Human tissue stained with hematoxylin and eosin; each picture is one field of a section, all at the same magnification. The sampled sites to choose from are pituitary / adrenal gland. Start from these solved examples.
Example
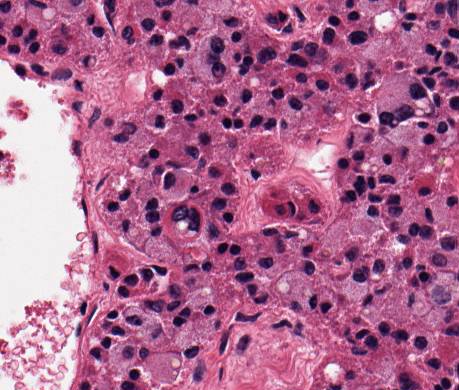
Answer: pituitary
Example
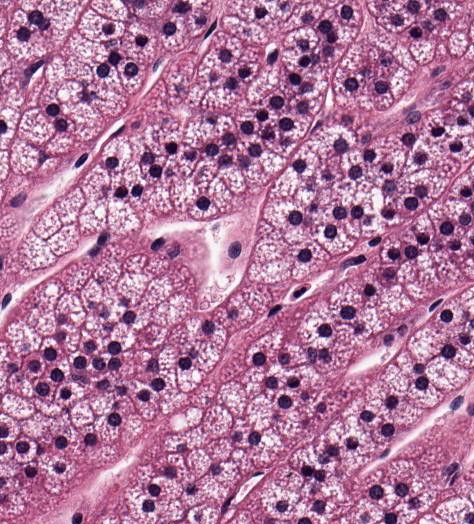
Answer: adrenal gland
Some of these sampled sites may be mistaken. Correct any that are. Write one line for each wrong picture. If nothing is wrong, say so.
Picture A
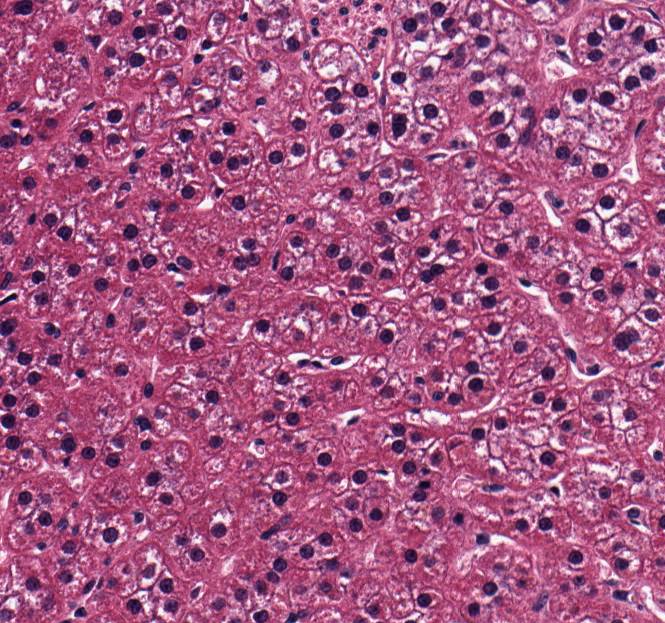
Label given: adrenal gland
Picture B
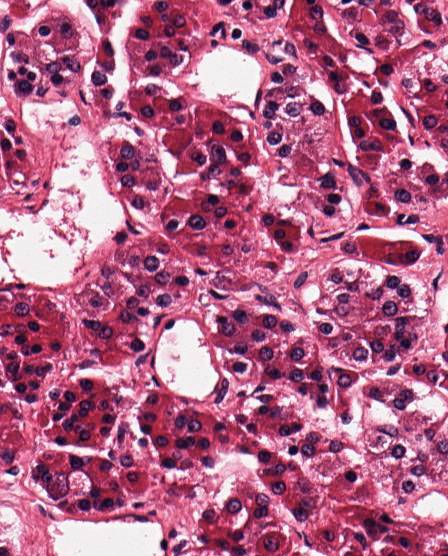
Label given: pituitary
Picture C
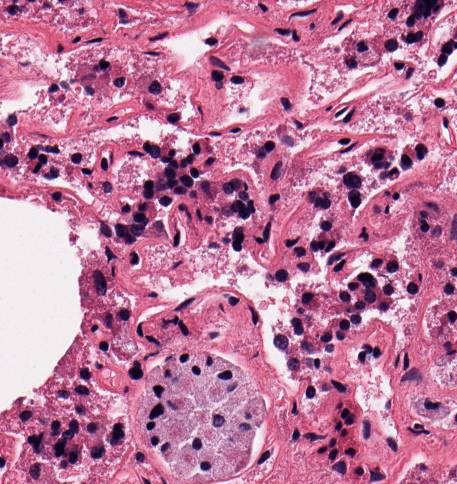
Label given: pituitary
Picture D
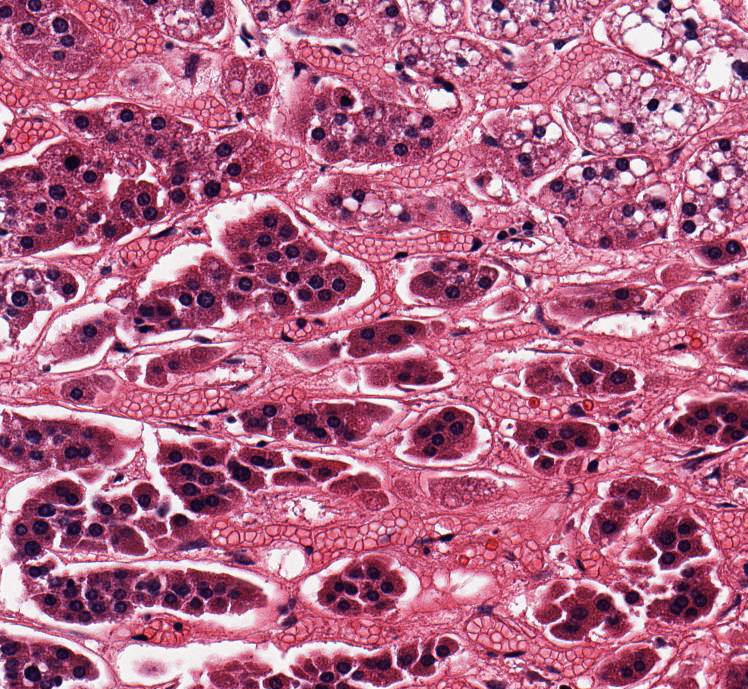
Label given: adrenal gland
No label is wrong.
